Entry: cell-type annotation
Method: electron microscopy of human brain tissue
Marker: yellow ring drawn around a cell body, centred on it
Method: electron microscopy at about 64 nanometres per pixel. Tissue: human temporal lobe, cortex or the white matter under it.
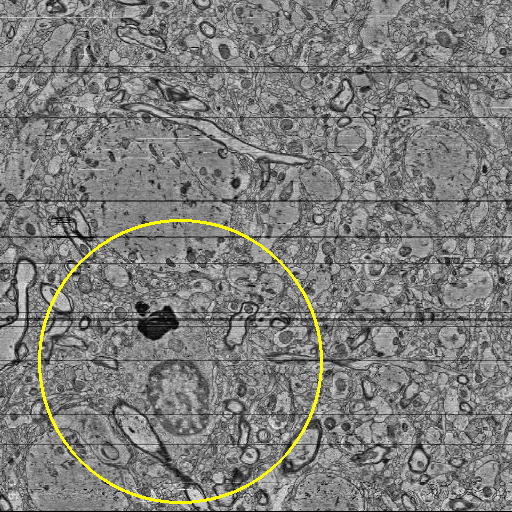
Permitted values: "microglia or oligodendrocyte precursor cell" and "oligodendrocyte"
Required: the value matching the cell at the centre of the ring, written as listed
oligodendrocyte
